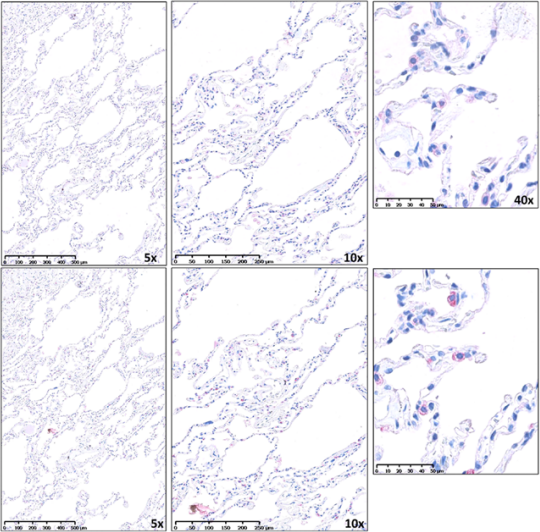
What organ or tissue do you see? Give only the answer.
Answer: Lung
